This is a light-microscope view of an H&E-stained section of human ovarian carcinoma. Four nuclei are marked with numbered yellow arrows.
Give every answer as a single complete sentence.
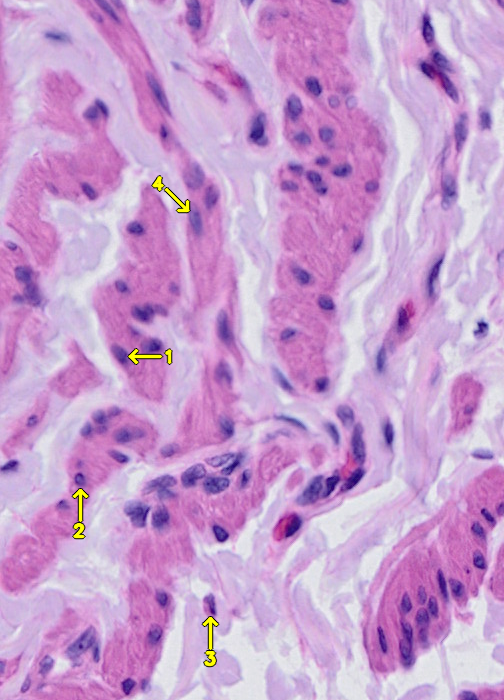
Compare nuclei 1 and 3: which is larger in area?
Nucleus 1 is the larger one, covering about 1.5 times the area of nucleus 3.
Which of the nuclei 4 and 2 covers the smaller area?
Number 2 is smaller, since number 4 takes up about 2.5 times as much area.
